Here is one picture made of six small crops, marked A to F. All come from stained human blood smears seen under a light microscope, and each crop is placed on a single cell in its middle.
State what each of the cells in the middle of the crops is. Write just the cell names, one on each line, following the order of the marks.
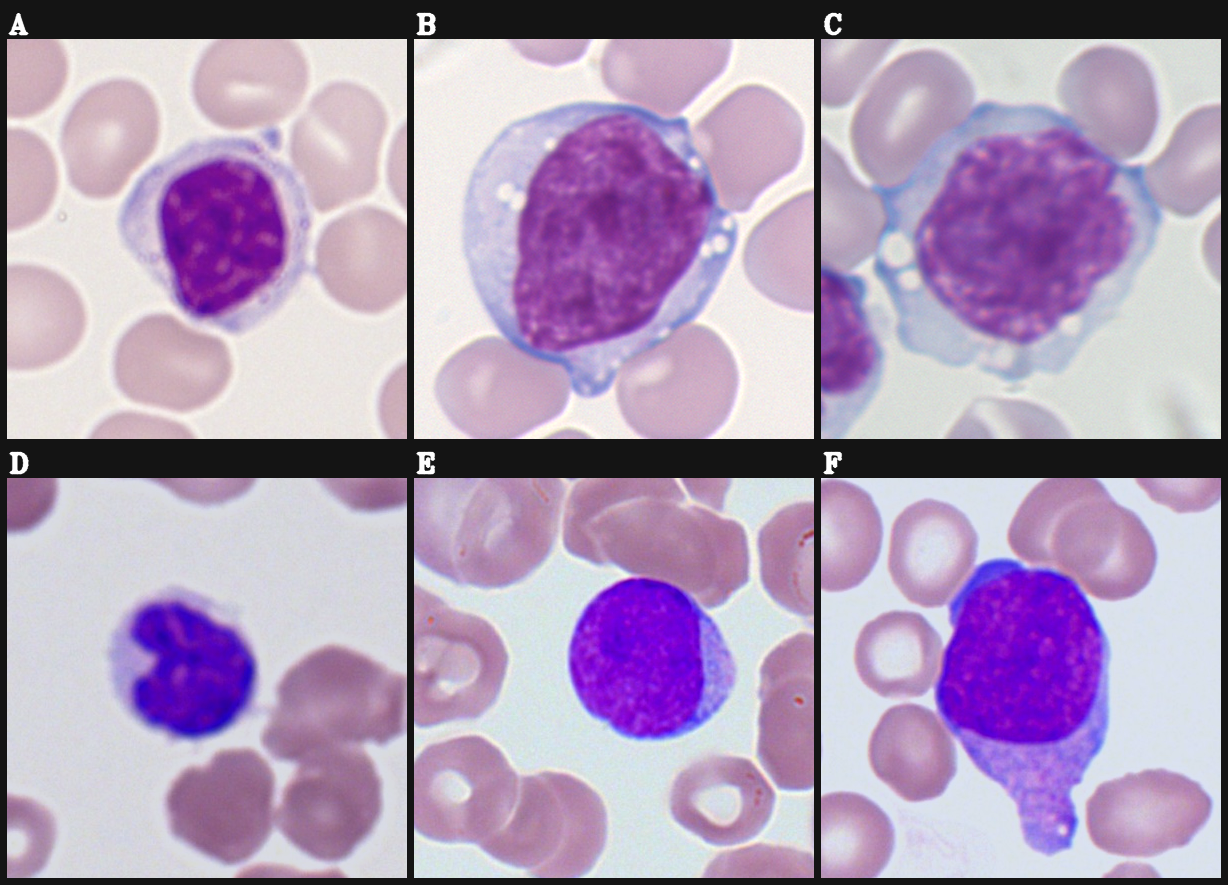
lymphocyte
blast
blast
lymphocyte
blast
blast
